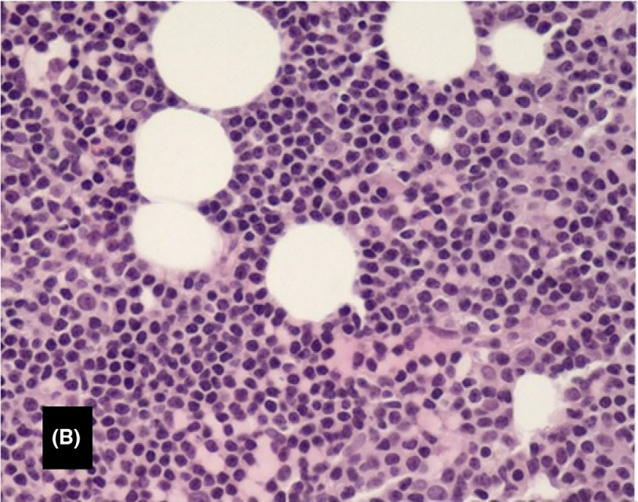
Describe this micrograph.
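At high power the marrow space is filled by a dense sheet of small lymphocytes. The cells look alike, with round, darkly stained nuclei and only a thin rim of cytoplasm, packed closely side by side. A few round, empty fat spaces lie among them, and the usual mixed marrow elements are hardly seen.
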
